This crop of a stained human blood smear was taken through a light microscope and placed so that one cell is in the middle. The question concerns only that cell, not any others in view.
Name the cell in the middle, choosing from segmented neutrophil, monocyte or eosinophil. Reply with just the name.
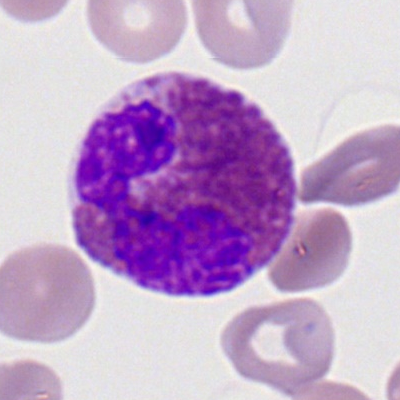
eosinophil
